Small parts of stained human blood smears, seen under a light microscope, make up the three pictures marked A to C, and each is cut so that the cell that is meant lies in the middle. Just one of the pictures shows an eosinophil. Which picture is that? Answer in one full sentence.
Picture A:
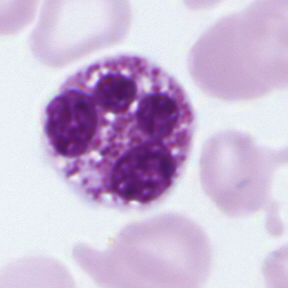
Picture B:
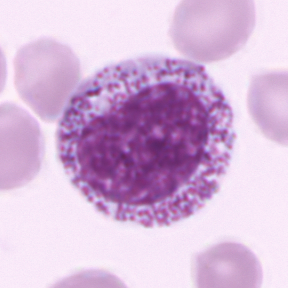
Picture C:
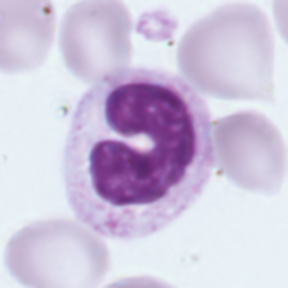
Picture A is the one that shows the eosinophil.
